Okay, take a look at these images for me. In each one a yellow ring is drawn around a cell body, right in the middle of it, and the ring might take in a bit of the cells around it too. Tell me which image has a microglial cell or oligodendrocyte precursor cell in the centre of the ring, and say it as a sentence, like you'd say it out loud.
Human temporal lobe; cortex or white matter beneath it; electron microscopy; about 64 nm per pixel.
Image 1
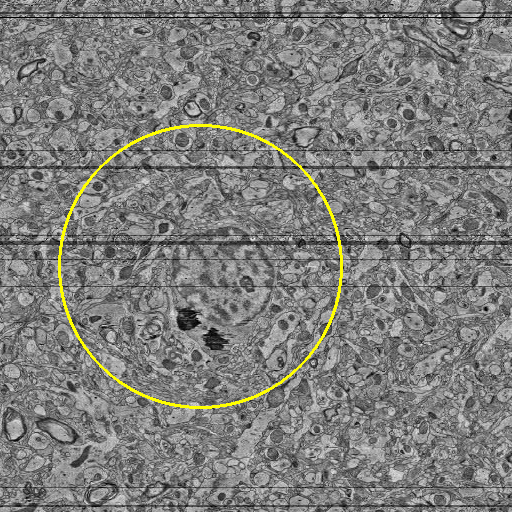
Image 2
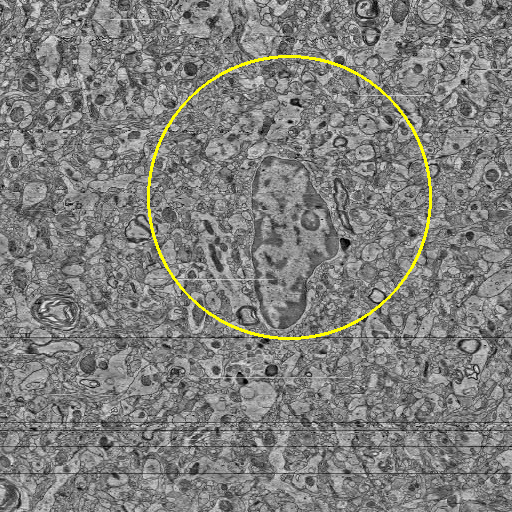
Image 2 is the one with it in the centre of the ring.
